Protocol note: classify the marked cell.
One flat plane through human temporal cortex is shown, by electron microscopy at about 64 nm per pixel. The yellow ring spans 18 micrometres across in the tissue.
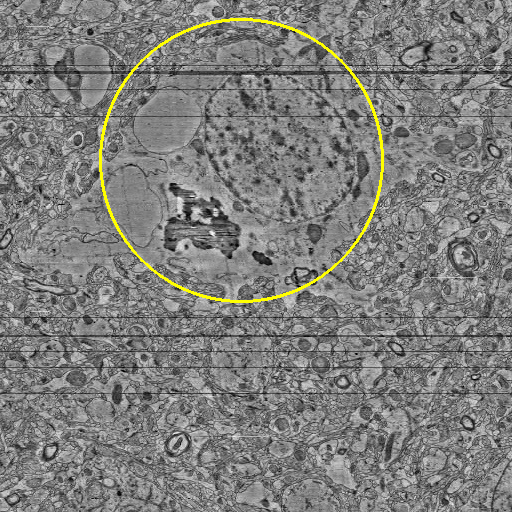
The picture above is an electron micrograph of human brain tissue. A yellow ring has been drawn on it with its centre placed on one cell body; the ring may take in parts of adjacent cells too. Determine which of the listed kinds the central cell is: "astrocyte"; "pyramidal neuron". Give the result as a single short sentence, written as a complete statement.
The central cell is an astrocyte.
